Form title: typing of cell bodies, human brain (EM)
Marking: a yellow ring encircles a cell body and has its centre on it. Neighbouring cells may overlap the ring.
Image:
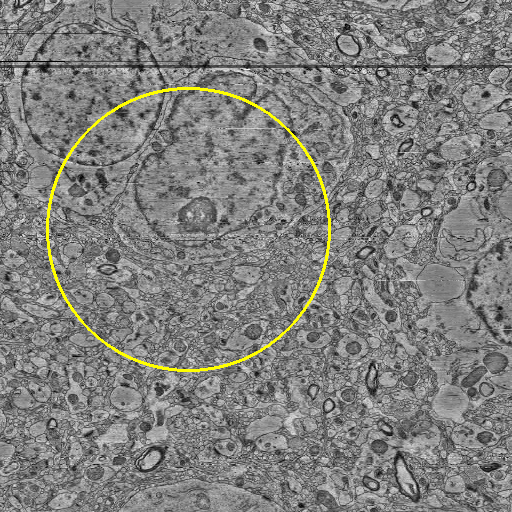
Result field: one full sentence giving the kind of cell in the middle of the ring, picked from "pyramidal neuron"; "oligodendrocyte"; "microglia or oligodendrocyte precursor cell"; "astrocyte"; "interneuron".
In the picture, the ring is centred on an interneuron, whose cell body it encircles.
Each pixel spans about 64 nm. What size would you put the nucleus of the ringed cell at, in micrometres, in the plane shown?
In this plane the nucleus measures roughly 12 by 9 micrometres.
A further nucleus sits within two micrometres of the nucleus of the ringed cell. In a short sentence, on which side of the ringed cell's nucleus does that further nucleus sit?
The other nucleus sits to the upper left of it.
